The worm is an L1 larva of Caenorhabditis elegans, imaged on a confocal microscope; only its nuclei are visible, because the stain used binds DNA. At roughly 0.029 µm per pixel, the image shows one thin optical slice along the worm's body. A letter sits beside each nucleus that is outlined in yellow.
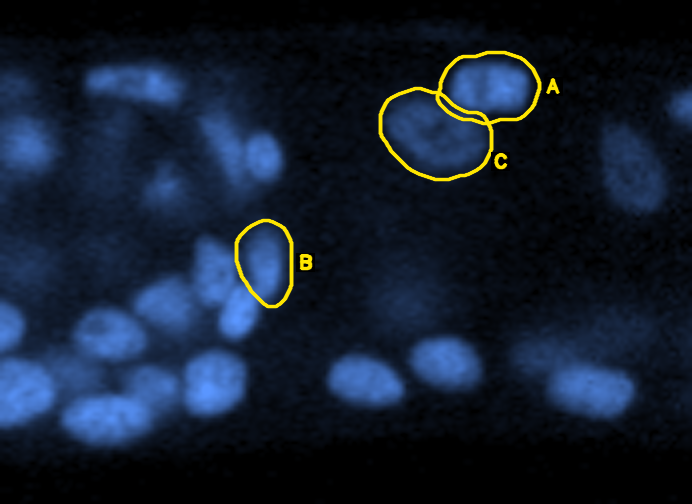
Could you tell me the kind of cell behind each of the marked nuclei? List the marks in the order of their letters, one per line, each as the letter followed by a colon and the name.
A: body wall muscle cell
B: valve cell of the gut
C: intestinal cell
